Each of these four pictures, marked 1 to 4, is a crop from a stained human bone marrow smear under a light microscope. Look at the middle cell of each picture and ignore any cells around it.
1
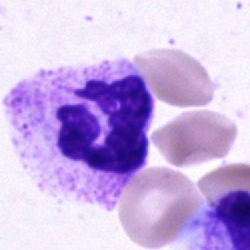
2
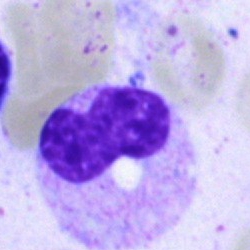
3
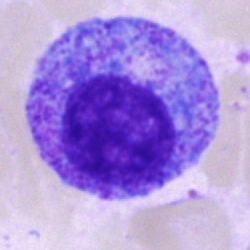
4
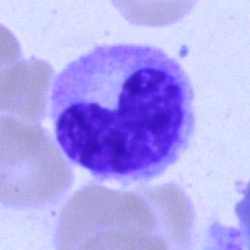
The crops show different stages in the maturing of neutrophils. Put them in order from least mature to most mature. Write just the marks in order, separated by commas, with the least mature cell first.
3, 4, 2, 1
